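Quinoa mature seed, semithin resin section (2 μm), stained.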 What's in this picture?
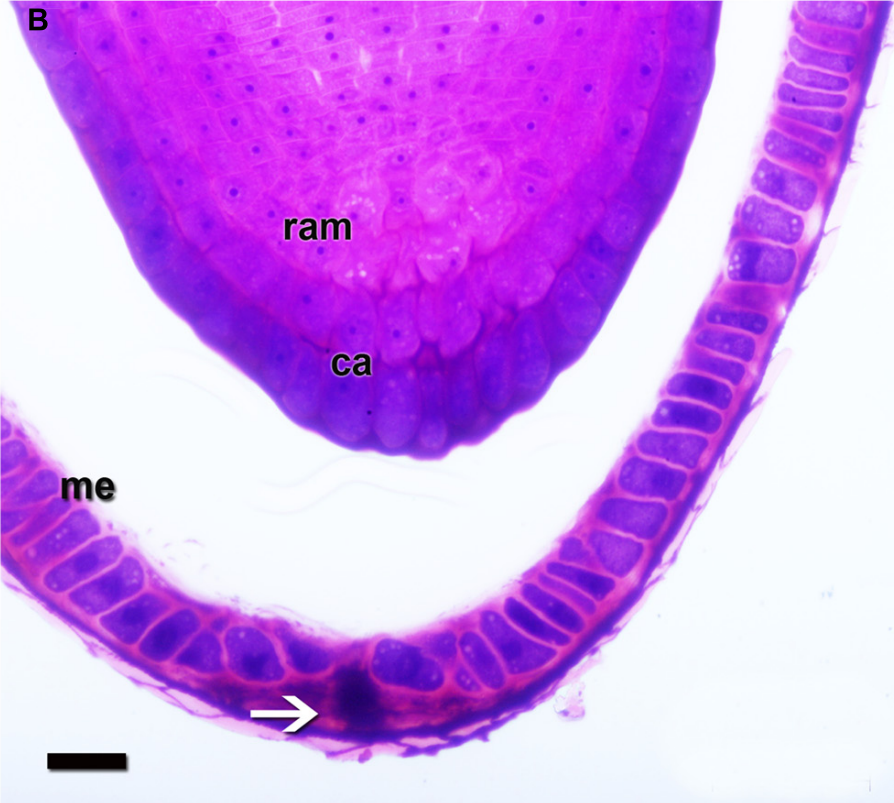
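The tip of an embryonic root lies above a curved layer of micropylar endosperm. Within the root, the root apical meristem consists of small, densely packed cells, each with a dark, dot-like nucleolus. These cells are arranged in files and are capped by a calyptra of larger, rounded, deep purple cells at the very tip. Across a clear gap, the endosperm forms a single row of column-shaped cells with pink walls and purple contents, and at the bottom of the curve this row holds a dark, shapeless mass.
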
